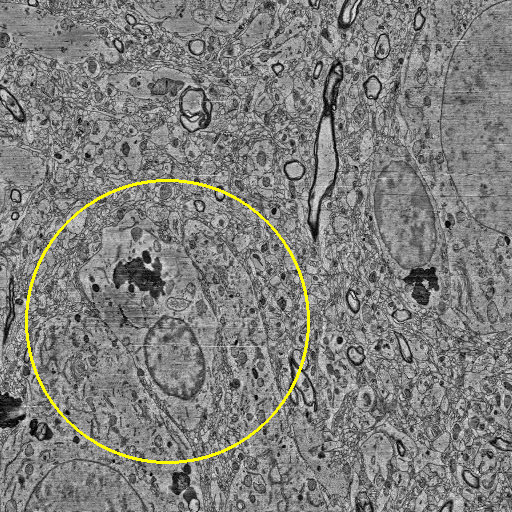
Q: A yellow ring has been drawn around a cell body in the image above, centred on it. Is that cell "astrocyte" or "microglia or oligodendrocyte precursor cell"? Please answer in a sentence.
The ring surrounds the cell body of an astrocyte.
